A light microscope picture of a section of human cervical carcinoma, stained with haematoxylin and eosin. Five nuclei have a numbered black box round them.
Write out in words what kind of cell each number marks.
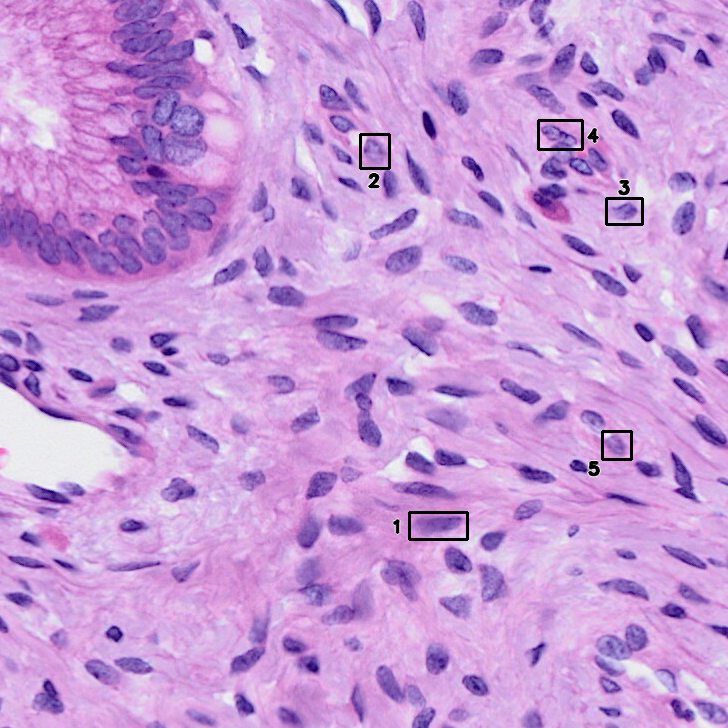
Cell 1 is a fibroblast, cell 2 is an endothelial cell, cell 3 is a fibroblast, cell 4 is an endothelial cell and cell 5 is an endothelial cell.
